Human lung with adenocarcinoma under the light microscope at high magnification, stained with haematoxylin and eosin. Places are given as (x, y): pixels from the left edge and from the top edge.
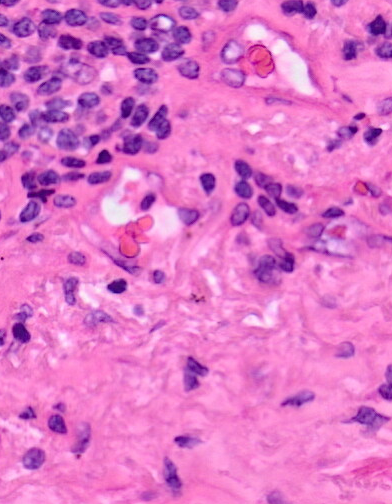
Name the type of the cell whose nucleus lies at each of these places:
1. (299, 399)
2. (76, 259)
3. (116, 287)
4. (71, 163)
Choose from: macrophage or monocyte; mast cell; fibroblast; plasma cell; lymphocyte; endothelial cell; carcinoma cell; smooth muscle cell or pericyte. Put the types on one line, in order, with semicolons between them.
fibroblast; mast cell; lymphocyte; lymphocyte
